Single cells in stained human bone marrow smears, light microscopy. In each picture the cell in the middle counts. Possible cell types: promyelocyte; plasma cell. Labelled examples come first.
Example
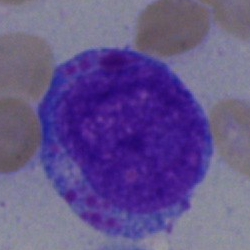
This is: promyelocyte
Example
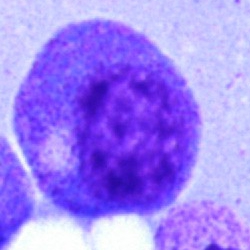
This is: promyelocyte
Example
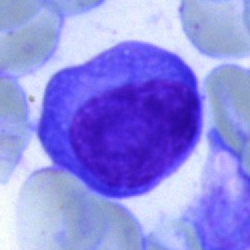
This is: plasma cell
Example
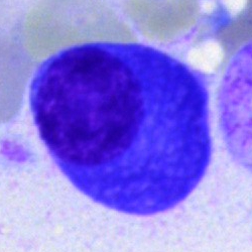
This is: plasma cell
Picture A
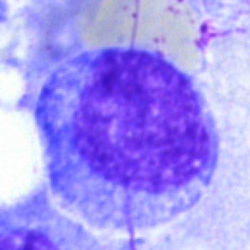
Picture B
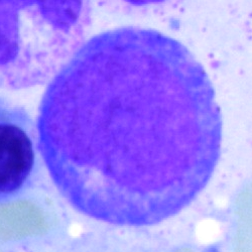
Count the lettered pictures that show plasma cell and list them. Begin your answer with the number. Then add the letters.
0, none of them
